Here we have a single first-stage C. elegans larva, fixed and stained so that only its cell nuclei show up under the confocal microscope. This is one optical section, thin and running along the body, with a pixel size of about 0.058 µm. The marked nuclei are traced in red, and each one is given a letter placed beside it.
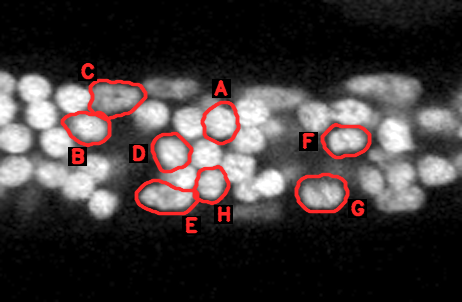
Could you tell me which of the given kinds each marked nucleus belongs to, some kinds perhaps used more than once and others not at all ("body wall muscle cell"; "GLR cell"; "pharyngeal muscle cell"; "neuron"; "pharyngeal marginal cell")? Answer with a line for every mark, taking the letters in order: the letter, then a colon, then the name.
A: neuron
B: GLR cell
C: body wall muscle cell
D: neuron
E: body wall muscle cell
F: pharyngeal muscle cell
G: body wall muscle cell
H: neuron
